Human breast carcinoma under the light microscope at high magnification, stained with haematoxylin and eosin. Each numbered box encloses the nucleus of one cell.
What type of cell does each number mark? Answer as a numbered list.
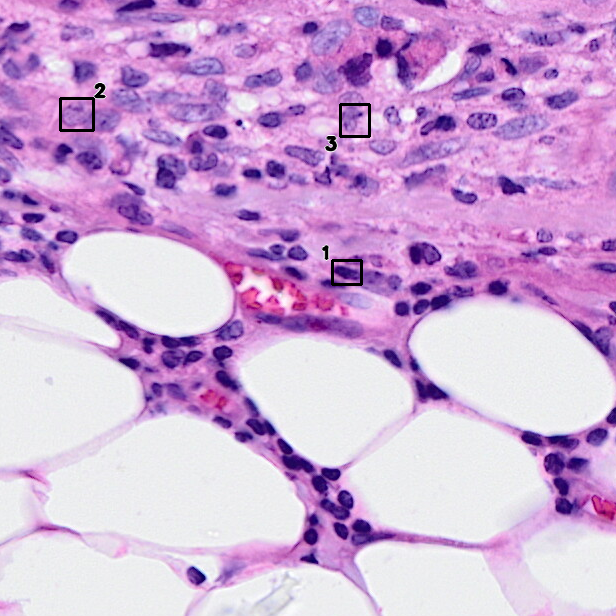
1. lymphocyte
2. endothelial cell
3. macrophage, monocyte or dendritic cell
